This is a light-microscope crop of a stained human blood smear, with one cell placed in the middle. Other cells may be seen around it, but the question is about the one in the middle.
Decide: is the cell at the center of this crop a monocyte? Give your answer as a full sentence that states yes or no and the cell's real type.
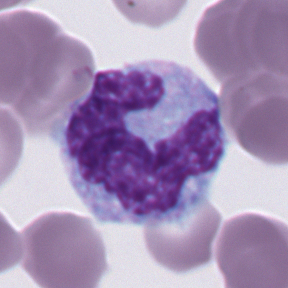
Yes, the cell under consideration, the one in the middle, is a monocyte.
